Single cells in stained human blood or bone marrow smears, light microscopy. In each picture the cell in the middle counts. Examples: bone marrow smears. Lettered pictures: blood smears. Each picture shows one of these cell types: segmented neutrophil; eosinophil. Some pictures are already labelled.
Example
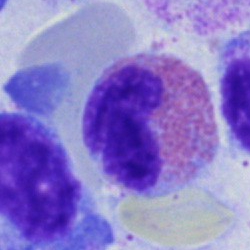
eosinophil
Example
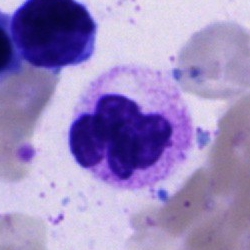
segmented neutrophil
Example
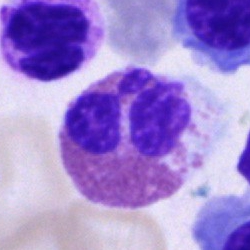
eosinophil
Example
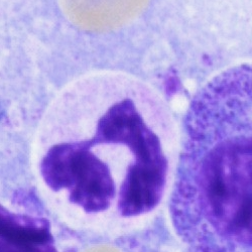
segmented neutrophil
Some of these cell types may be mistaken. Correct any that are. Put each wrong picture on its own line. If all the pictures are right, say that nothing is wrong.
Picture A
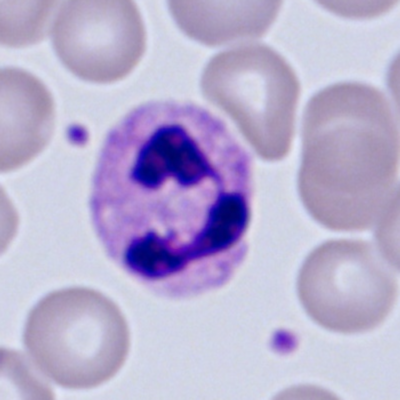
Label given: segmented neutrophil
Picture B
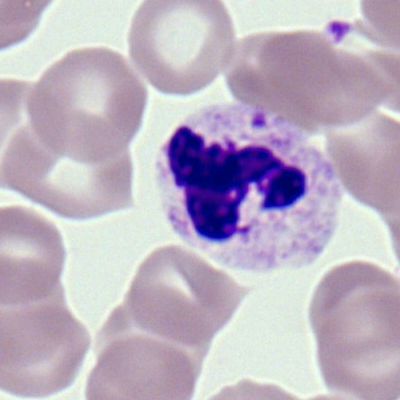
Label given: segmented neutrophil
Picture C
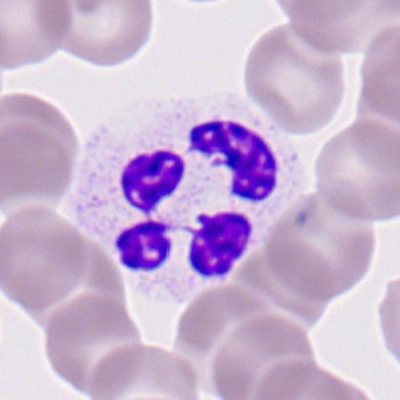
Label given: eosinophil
C: segmented neutrophil, not eosinophil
